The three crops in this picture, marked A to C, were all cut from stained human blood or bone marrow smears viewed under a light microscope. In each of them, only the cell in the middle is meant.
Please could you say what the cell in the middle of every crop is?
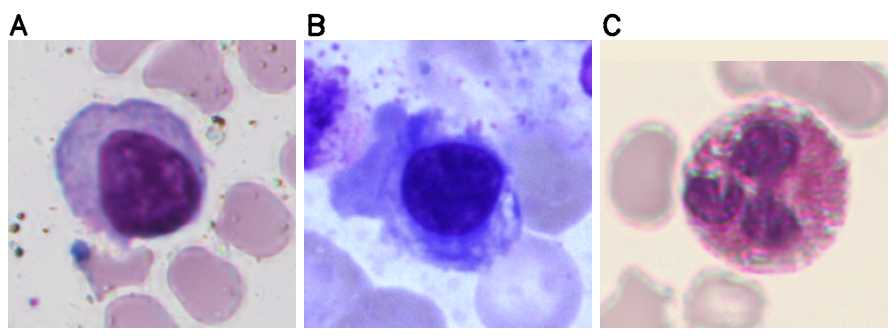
A: plasma cell
B: erythroblast
C: eosinophil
